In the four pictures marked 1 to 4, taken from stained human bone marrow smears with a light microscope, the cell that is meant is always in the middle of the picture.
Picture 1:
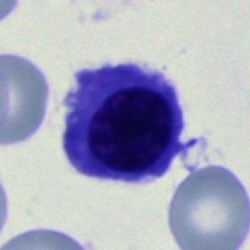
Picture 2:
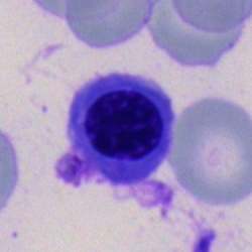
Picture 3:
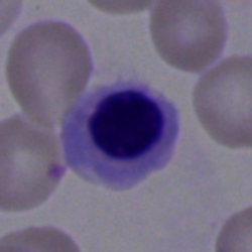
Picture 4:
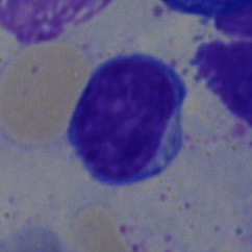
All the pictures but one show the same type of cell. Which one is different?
4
